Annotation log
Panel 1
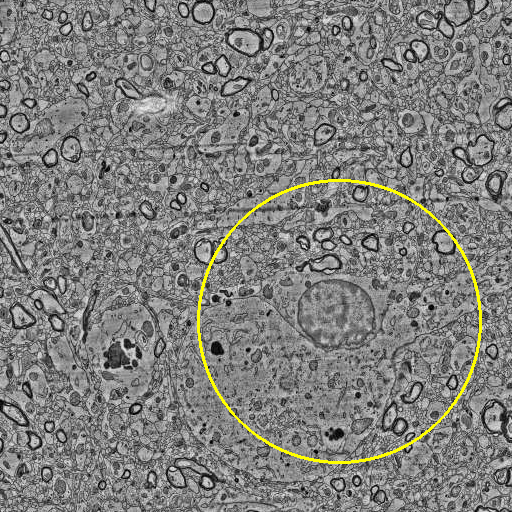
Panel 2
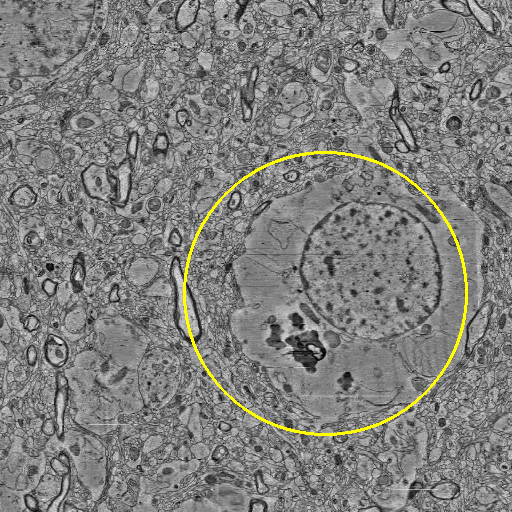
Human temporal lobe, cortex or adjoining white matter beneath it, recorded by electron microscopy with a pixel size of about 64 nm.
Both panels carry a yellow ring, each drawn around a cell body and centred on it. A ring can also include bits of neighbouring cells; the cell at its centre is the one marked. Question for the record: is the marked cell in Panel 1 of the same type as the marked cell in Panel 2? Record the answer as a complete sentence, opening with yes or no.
No, the marked cells in Panel 1 and Panel 2 are of two types.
